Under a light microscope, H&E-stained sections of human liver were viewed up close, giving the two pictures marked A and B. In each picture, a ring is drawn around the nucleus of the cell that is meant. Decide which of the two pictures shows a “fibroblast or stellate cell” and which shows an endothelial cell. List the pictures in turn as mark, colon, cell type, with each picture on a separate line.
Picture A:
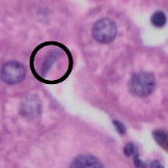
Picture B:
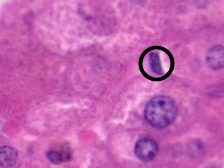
A: endothelial cell
B: fibroblast or stellate cell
